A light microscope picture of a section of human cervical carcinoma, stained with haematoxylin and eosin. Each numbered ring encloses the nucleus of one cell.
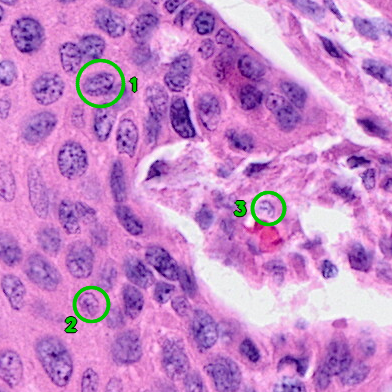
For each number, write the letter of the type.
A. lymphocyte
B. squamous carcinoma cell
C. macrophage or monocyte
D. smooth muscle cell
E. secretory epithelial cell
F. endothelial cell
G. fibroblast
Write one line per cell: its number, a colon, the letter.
1: B
2: B
3: F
